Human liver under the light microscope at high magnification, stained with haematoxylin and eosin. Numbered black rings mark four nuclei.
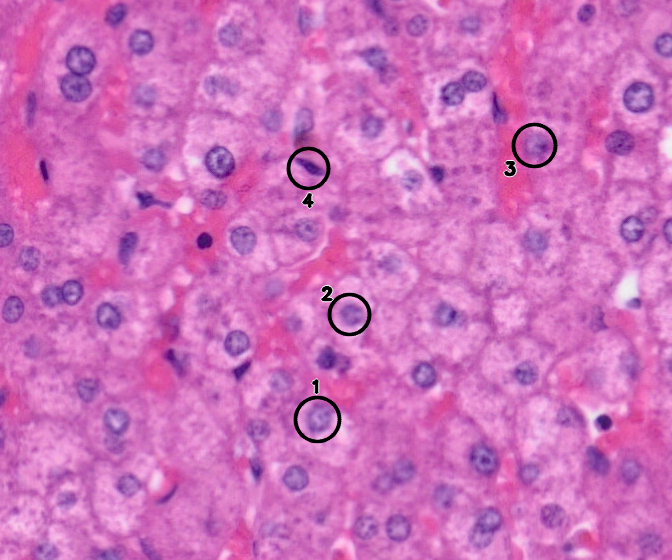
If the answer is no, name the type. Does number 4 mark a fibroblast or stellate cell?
Yes.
